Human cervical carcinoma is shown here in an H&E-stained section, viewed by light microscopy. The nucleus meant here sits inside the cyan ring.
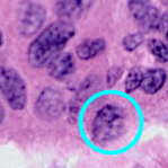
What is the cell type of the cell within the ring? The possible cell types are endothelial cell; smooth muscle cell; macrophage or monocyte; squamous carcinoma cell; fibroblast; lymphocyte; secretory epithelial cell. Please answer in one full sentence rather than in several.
The category to which the cell within the ring belongs is that of a squamous carcinoma cell.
